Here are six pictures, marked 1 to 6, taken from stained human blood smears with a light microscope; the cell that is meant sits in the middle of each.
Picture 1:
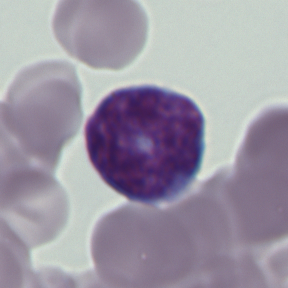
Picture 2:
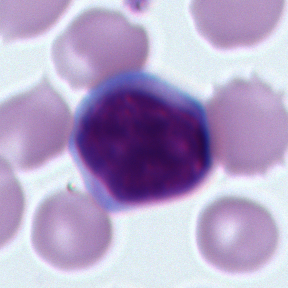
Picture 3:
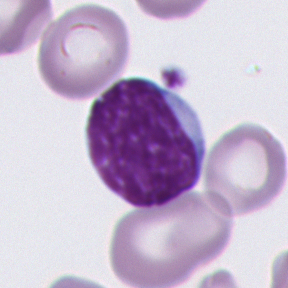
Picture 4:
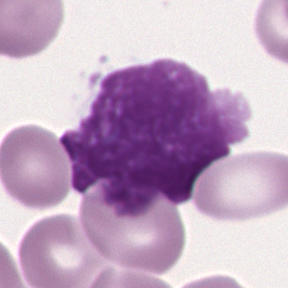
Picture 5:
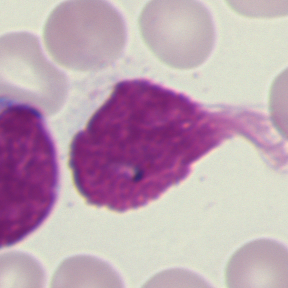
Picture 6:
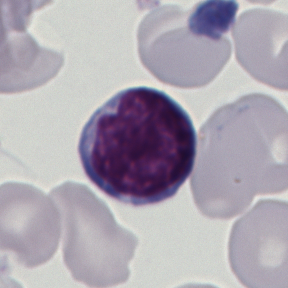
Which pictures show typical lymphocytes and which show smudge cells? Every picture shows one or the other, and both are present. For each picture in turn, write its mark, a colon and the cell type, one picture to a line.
1: typical lymphocyte
2: typical lymphocyte
3: typical lymphocyte
4: smudge cell
5: smudge cell
6: typical lymphocyte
